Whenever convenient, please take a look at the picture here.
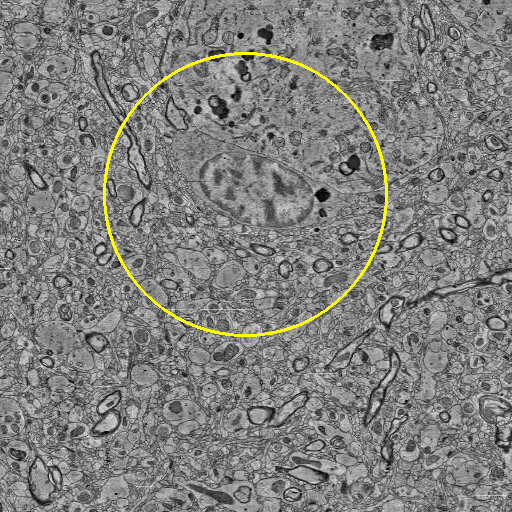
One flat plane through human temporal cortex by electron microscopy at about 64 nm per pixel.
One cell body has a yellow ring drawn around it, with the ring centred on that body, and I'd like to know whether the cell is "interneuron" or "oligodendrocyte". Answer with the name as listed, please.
oligodendrocyte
